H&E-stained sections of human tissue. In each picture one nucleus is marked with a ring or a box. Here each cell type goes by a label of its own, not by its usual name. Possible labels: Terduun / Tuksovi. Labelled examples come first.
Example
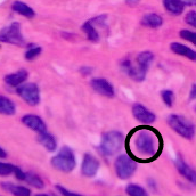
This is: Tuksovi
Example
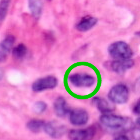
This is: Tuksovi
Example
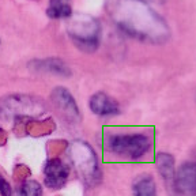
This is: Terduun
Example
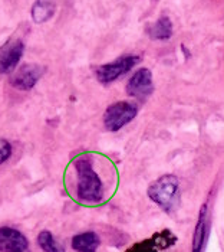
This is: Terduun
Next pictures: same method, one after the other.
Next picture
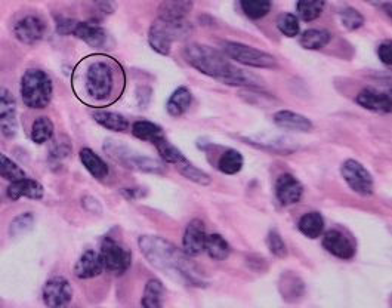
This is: Terduun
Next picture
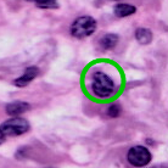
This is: Terduun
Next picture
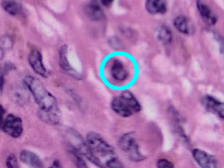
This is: Terduun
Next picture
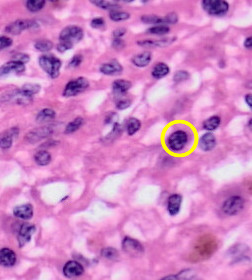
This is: Terduun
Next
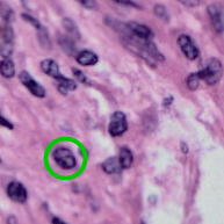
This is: Terduun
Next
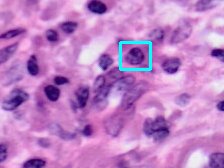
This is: Terduun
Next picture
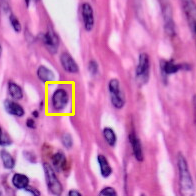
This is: Terduun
